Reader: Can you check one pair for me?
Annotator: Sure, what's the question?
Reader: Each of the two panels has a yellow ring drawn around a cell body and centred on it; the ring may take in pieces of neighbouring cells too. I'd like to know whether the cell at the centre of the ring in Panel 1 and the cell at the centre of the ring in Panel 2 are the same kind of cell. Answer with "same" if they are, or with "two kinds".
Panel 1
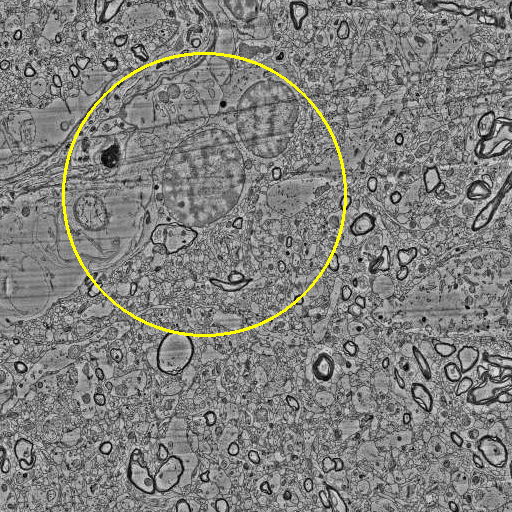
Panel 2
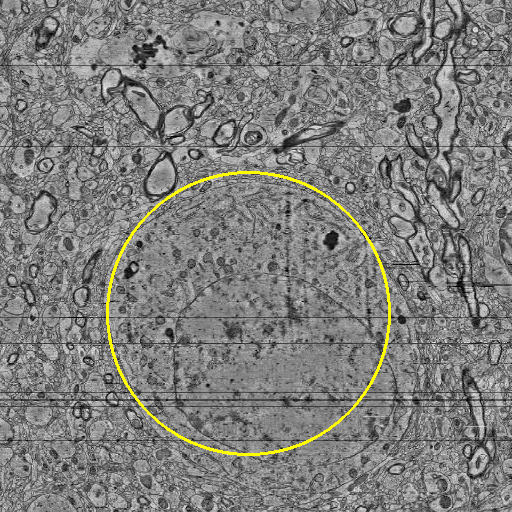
two kinds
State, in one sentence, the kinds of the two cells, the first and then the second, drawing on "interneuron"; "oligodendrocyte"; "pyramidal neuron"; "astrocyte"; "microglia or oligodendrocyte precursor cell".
The ring in the second picture is centred on a pyramidal neuron, the ring in the first on an oligodendrocyte.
